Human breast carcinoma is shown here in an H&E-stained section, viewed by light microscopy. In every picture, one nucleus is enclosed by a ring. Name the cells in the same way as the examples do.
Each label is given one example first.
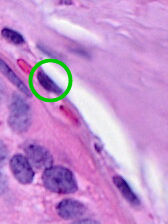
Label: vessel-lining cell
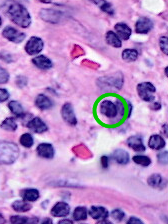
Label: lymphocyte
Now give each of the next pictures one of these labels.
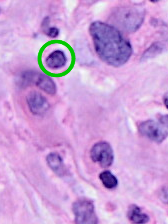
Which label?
lymphocyte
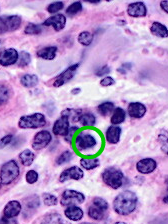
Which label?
lymphocyte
